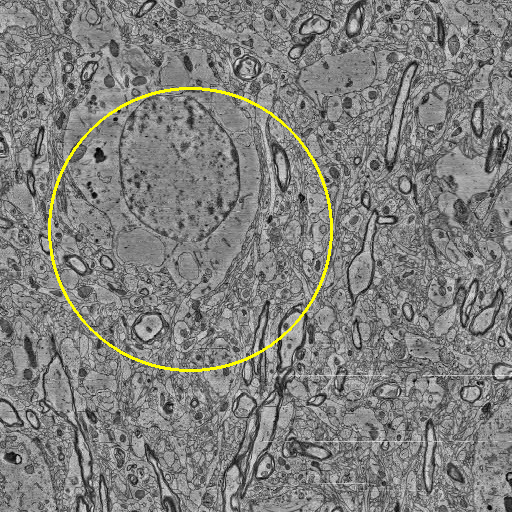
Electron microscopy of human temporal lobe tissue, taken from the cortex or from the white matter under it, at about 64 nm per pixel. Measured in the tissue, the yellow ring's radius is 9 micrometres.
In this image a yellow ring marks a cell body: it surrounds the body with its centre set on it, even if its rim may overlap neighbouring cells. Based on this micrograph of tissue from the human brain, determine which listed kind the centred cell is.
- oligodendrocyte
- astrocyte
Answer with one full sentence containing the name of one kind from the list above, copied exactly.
It is an astrocyte whose body the yellow ring encloses at its centre.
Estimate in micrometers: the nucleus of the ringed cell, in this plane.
In this plane, the nucleus is roughly 10 by 8 micrometres.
